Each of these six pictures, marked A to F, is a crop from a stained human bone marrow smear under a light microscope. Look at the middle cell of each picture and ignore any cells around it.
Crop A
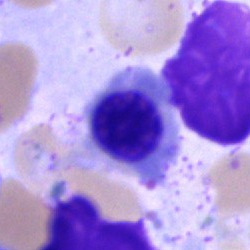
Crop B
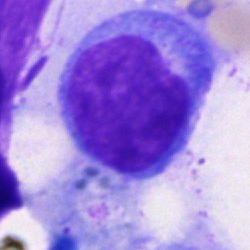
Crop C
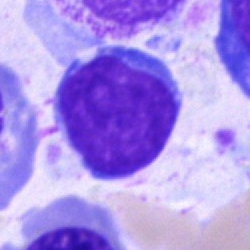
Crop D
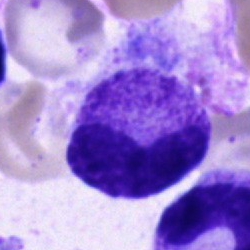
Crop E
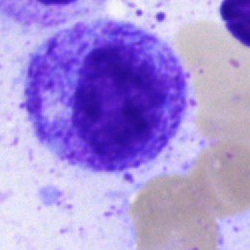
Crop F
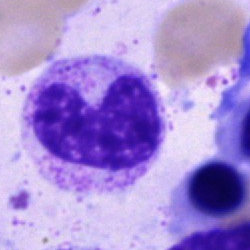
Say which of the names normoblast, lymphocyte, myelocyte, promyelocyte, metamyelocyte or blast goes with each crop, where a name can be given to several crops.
A: normoblast
B: blast
C: lymphocyte
D: metamyelocyte
E: myelocyte
F: metamyelocyte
